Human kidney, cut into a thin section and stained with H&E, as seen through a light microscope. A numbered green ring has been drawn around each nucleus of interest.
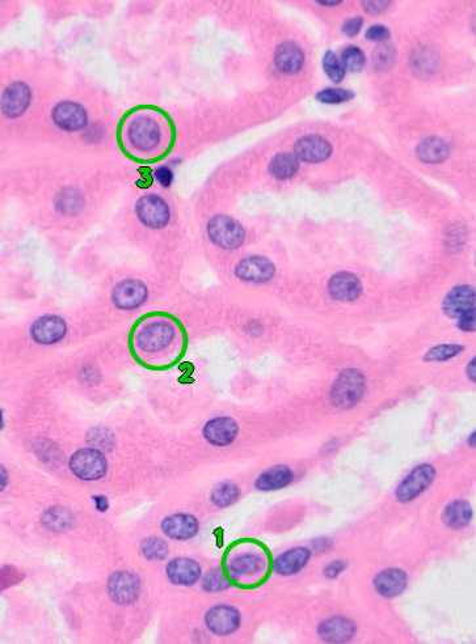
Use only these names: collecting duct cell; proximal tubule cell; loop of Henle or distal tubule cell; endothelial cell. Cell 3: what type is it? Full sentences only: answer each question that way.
The numbered cell 3 in this field is a proximal tubule cell.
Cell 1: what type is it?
The nucleus labelled 1 belongs to a collecting duct cell.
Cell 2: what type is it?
The mark numbered 2 indicates the nucleus of a proximal tubule cell.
